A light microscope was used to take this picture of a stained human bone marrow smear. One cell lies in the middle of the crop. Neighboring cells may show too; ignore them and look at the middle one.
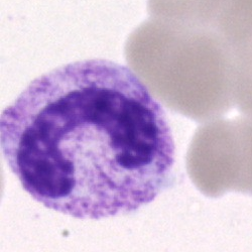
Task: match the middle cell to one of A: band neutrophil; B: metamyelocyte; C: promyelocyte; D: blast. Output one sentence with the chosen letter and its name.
Identification: the cell in the middle is a band neutrophil, matching option A.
